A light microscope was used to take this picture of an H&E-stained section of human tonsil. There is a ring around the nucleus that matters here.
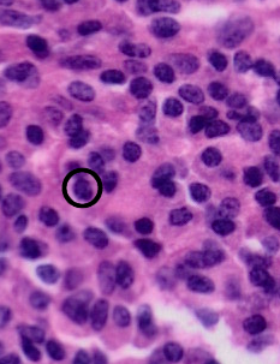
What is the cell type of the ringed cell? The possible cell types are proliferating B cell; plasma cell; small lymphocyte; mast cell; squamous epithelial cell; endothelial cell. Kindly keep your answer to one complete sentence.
The classification of the ringed cell is as a plasma cell.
